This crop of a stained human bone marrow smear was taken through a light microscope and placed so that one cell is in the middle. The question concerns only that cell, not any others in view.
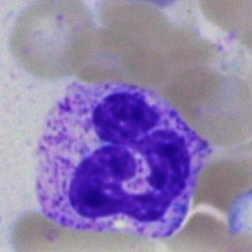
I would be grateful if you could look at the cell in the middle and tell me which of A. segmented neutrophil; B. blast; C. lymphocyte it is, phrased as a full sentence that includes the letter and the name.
Option A is the correct option, with the middle cell being a segmented neutrophil.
